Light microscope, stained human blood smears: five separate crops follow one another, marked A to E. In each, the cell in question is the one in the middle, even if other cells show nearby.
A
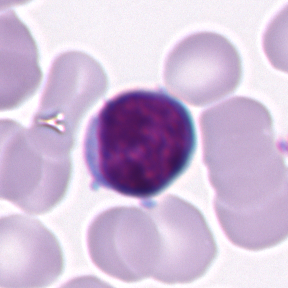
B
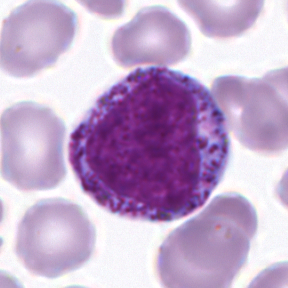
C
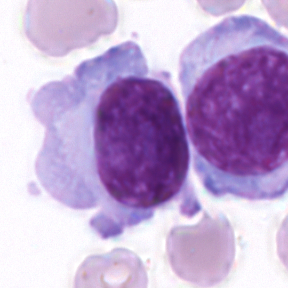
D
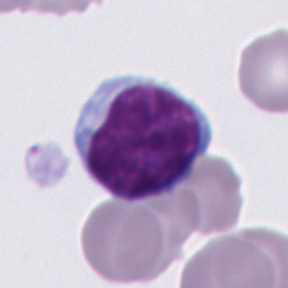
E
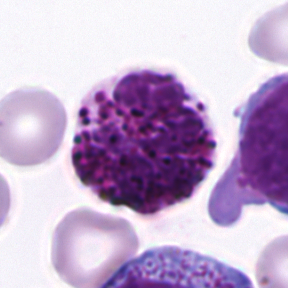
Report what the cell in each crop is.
A: typical lymphocyte
B: myelocyte
C: plasma cell
D: typical lymphocyte
E: basophil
